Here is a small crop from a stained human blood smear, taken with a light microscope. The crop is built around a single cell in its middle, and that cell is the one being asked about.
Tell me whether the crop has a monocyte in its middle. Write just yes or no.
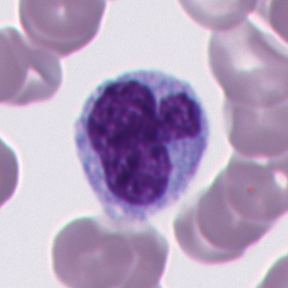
yes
